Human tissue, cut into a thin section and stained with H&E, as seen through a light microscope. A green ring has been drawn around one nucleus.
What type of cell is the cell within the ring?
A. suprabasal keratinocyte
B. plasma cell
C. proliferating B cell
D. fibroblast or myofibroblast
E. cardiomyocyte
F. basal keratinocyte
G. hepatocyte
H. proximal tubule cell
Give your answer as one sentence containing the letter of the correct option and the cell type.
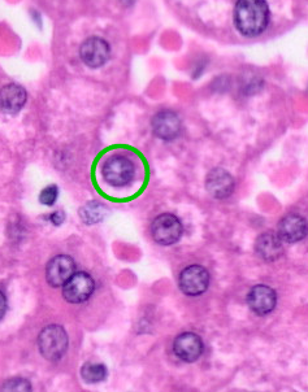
Here the right answer is G, with the cell within the ring being a hepatocyte.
